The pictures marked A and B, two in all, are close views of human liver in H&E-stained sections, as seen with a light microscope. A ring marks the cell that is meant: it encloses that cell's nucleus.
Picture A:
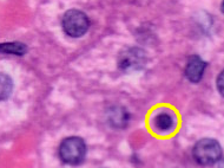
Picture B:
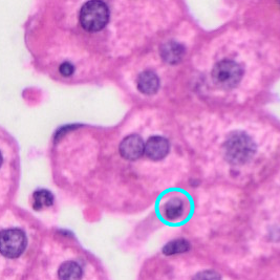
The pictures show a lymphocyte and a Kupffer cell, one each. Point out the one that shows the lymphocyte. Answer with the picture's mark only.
A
